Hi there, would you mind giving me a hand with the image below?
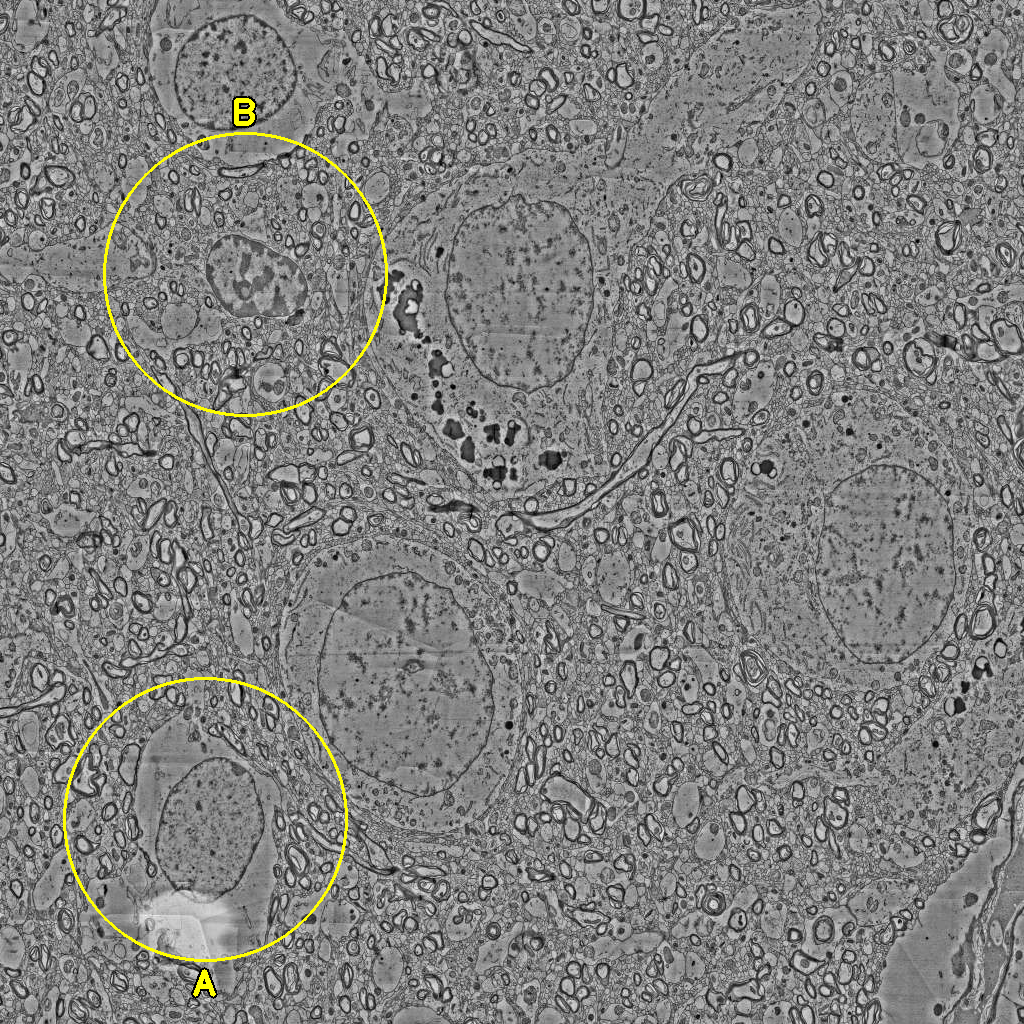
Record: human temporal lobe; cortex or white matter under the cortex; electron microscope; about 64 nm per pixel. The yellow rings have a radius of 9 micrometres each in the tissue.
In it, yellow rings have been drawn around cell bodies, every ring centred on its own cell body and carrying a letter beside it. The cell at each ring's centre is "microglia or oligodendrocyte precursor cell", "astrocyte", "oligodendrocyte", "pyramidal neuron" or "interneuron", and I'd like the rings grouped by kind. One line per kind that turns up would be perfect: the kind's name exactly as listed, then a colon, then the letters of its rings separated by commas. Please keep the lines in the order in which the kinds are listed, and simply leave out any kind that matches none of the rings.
microglia or oligodendrocyte precursor cell: B
astrocyte: A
